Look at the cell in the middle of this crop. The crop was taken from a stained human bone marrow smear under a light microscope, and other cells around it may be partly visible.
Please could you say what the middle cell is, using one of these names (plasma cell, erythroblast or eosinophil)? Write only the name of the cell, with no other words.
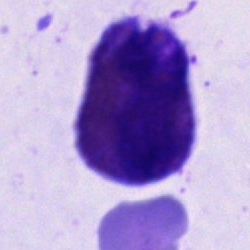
eosinophil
